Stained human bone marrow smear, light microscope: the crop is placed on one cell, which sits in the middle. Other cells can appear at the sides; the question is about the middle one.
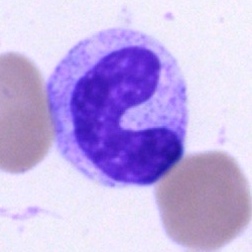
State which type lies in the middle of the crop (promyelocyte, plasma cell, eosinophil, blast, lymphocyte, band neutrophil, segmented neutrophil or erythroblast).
band neutrophil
